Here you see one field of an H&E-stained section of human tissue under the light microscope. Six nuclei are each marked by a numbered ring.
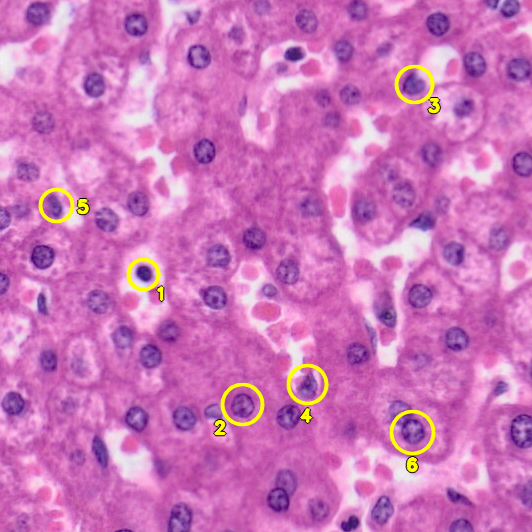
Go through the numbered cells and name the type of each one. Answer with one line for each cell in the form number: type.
1: lymphocyte
2: hepatocyte
3: fibroblast or stellate cell
4: endothelial cell
5: Kupffer cell
6: hepatocyte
